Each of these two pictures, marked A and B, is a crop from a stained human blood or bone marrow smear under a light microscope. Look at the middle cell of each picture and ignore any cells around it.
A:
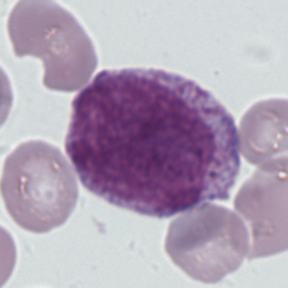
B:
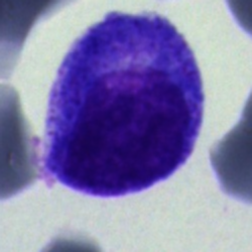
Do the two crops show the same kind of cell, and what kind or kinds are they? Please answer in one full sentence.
Yes, the central cells, in both crops, are promyelocytes.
